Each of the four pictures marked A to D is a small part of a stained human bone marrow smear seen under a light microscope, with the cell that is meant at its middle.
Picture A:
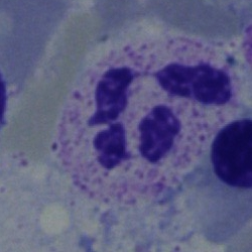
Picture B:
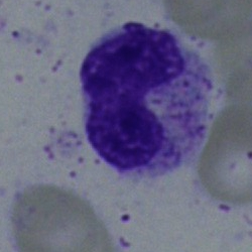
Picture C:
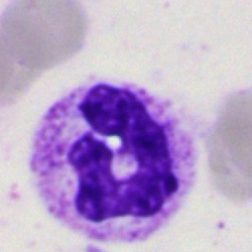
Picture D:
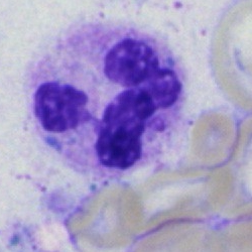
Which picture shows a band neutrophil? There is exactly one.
B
